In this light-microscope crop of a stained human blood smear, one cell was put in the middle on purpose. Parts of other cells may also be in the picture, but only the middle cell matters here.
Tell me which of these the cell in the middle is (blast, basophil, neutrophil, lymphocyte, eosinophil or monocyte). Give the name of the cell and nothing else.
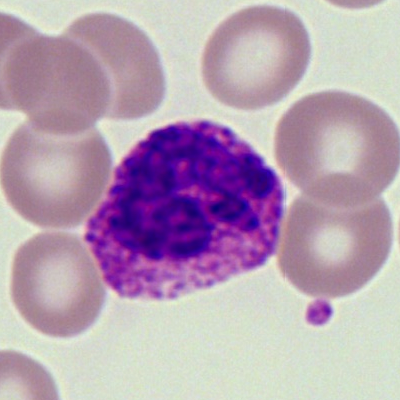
basophil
